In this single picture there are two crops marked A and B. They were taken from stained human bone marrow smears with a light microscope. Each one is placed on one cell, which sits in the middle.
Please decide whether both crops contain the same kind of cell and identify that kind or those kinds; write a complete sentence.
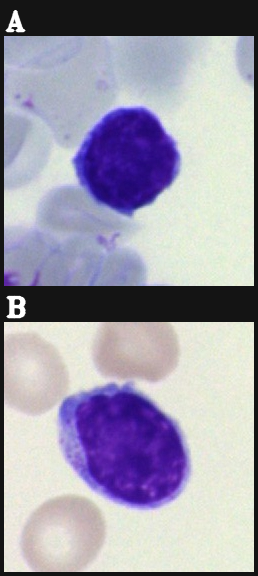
Yes, that holds, both crops show lymphocytes.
